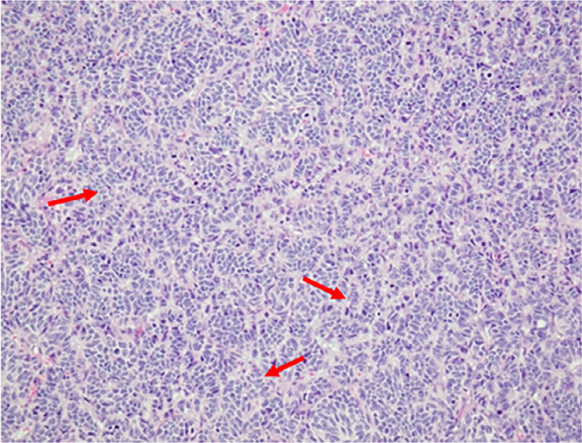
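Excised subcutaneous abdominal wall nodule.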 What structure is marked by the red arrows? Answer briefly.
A: Cords and trabeculae.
